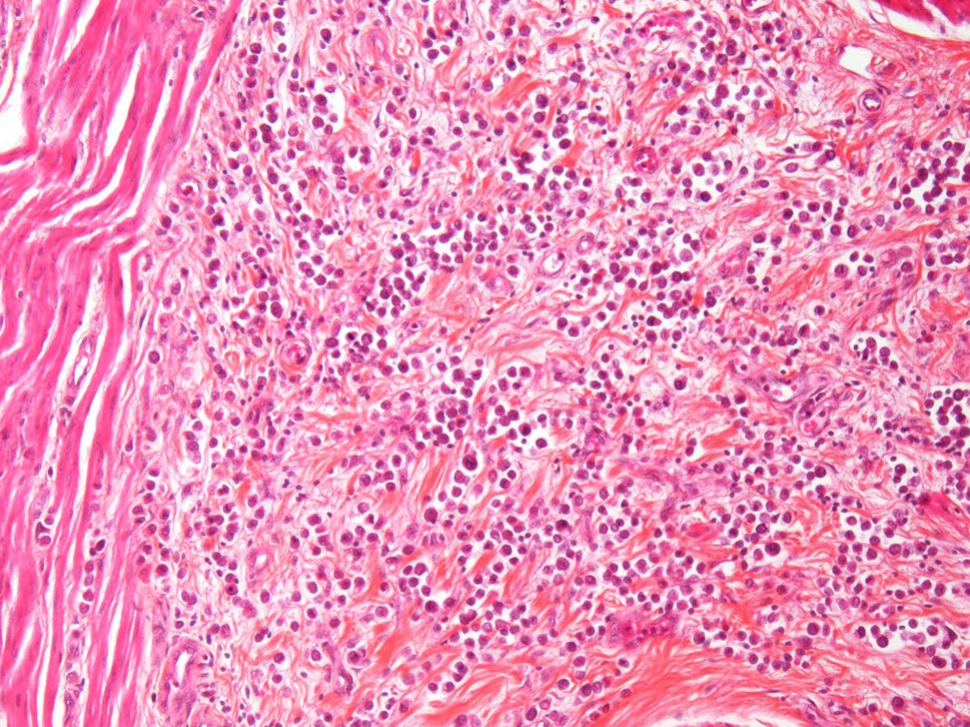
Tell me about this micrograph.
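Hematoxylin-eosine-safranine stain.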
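This shows a tumor made of discohesive cells resembling plasma cells, infiltrating connective tissue beside muscle fibres. The cells lie singly, not joined into nests or glands, and fill the field densely. Most are round to oval, with round, dark purple nuclei often placed off-centre in a modest rim of pink-violet cytoplasm, giving a plasma-cell-like look. Between them run thin, wavy, bright pink strands of connective tissue, along which the cells spread in loose files. At the left edge lie long, wavy, deep pink bundles of muscle fibres, against which the infiltrate abuts. A few small vessels are scattered through the tissue.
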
